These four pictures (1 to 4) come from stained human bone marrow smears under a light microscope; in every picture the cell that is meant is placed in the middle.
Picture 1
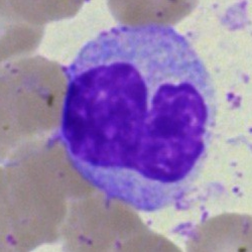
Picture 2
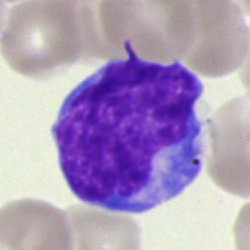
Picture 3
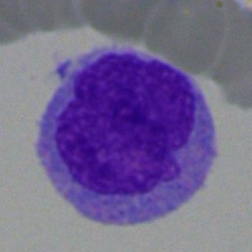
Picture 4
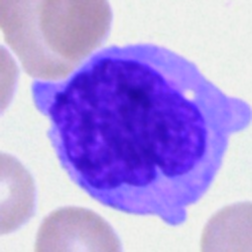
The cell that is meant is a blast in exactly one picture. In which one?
2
